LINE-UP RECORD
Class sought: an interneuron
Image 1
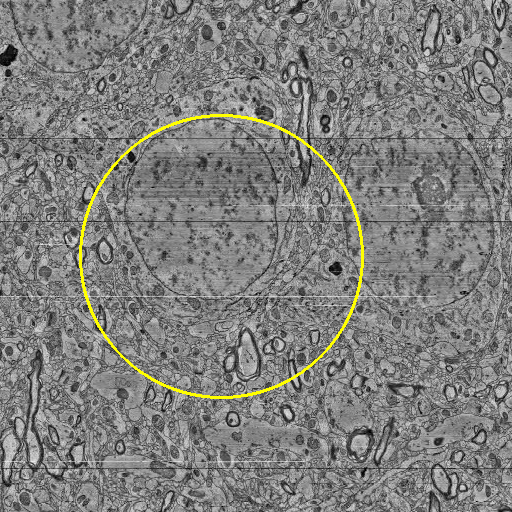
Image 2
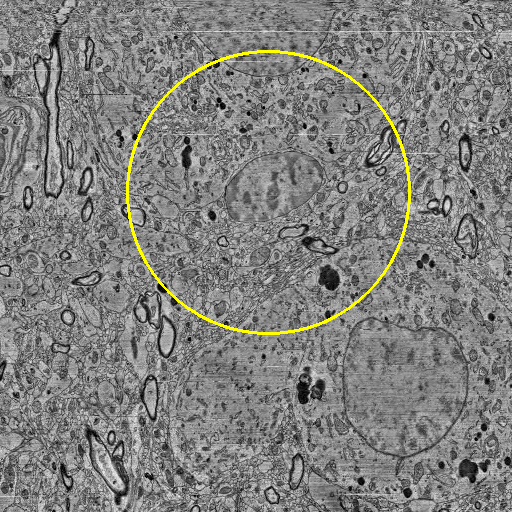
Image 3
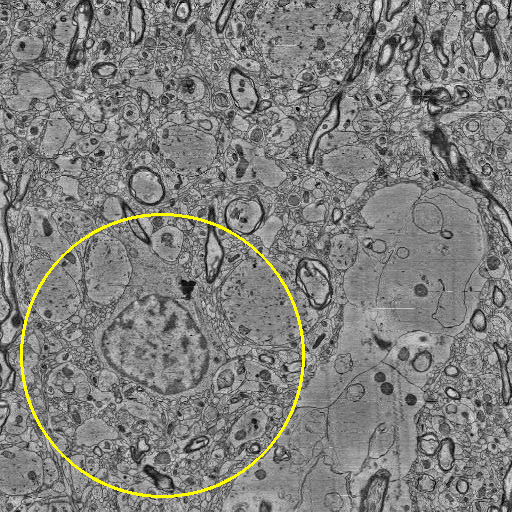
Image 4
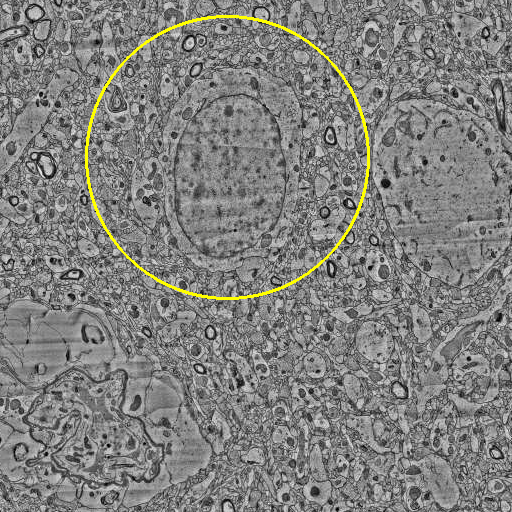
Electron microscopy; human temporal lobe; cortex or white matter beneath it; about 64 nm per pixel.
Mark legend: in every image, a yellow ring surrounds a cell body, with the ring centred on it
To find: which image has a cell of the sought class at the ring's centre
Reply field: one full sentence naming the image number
The ring-centred cell of image 4 belongs to the class sought.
